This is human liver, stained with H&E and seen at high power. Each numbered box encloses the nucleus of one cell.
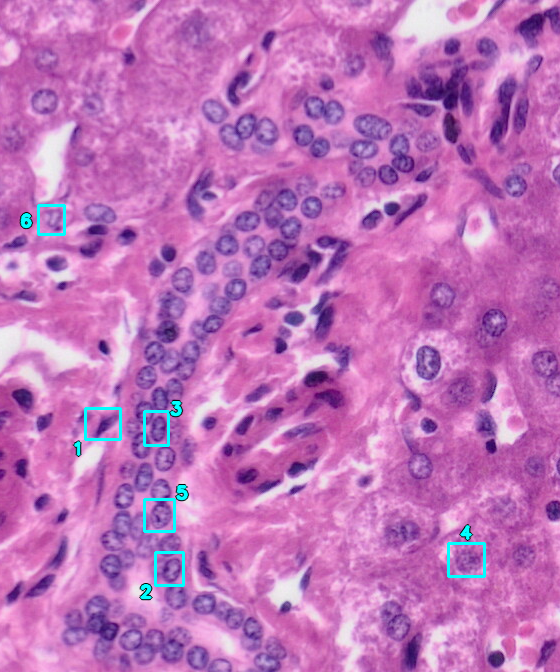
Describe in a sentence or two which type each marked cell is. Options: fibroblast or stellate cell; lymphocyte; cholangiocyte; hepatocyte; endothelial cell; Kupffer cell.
Cell 1 is a fibroblast or stellate cell, cell 2 is a cholangiocyte, cell 3 is a cholangiocyte, cell 4 is a hepatocyte, cell 5 is a cholangiocyte and cell 6 is a cholangiocyte.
